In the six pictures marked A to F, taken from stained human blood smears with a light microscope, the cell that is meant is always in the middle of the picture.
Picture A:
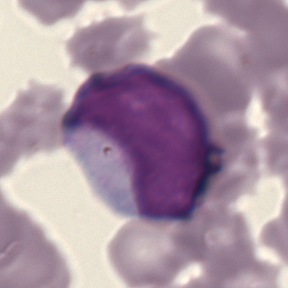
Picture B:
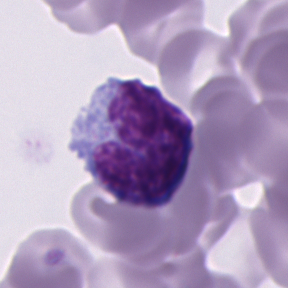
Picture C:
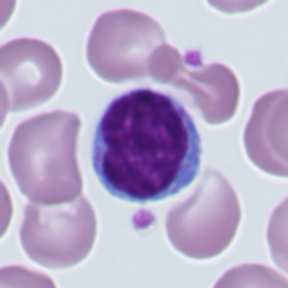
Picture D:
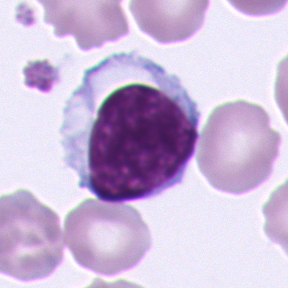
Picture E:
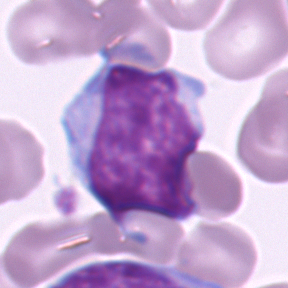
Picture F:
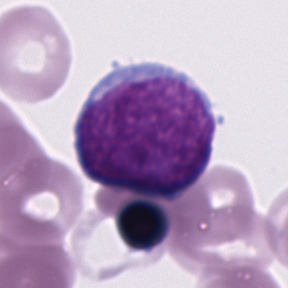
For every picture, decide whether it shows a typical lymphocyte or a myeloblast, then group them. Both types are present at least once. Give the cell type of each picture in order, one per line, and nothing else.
myeloblast
typical lymphocyte
typical lymphocyte
typical lymphocyte
myeloblast
myeloblast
